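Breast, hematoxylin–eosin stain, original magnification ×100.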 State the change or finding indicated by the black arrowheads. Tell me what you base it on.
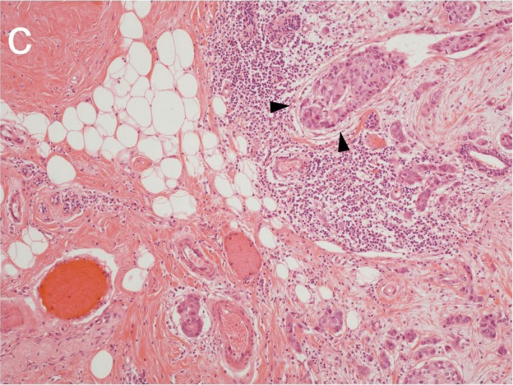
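The arrowheads point to a cluster of epithelial tumor cells lying within a space bounded by a thin wall. The space around the cluster is separated from the surrounding stroma by a narrow gap.
Conclusion: lymphovascular invasion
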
